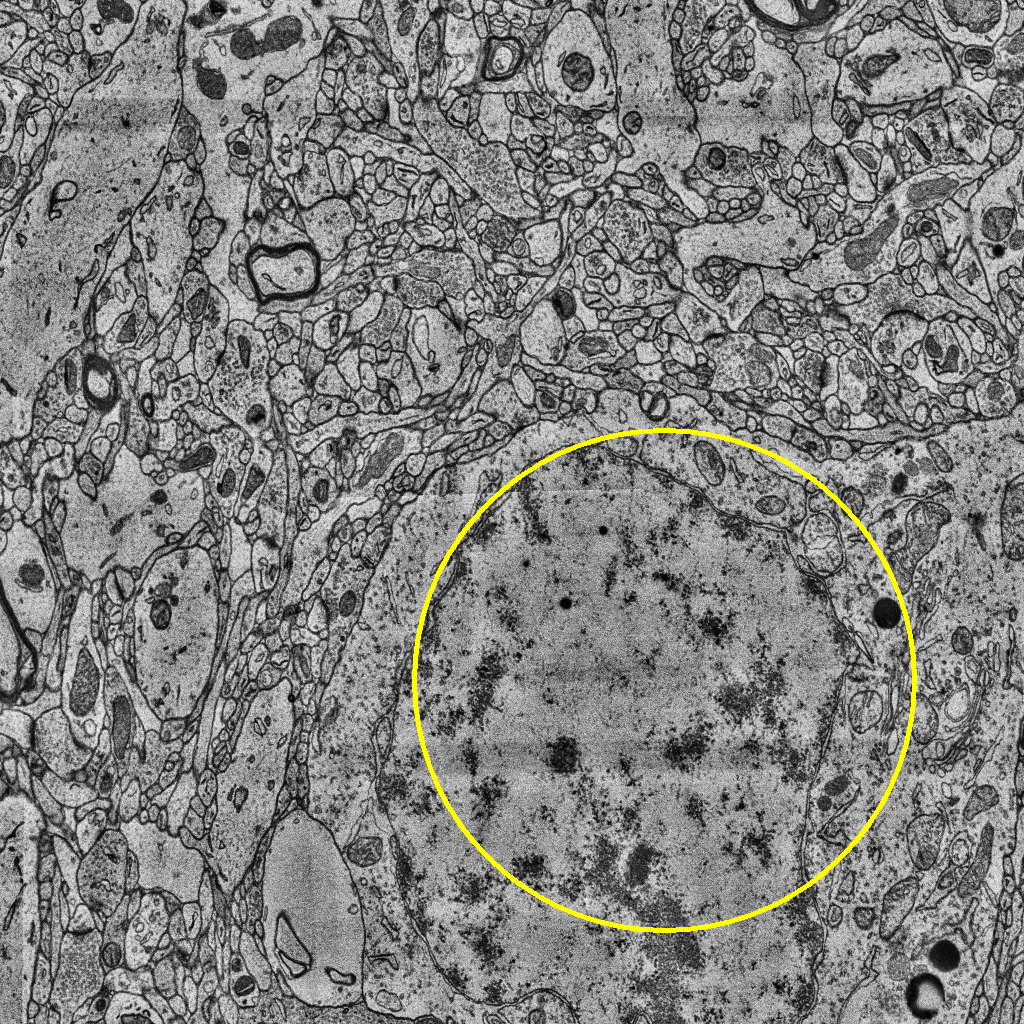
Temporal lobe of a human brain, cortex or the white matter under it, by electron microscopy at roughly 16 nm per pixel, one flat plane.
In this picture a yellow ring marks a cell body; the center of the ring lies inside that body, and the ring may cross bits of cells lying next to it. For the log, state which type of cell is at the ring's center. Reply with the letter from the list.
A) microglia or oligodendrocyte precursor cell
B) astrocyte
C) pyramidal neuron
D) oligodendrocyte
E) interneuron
E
